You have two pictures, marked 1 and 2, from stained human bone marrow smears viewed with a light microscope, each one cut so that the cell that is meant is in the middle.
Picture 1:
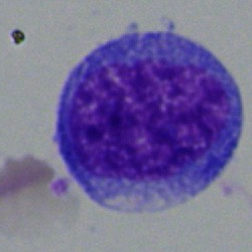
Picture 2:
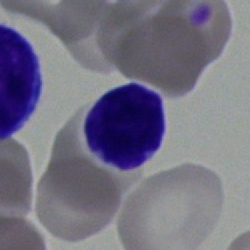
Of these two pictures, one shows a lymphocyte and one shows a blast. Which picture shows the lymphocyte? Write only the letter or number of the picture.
2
